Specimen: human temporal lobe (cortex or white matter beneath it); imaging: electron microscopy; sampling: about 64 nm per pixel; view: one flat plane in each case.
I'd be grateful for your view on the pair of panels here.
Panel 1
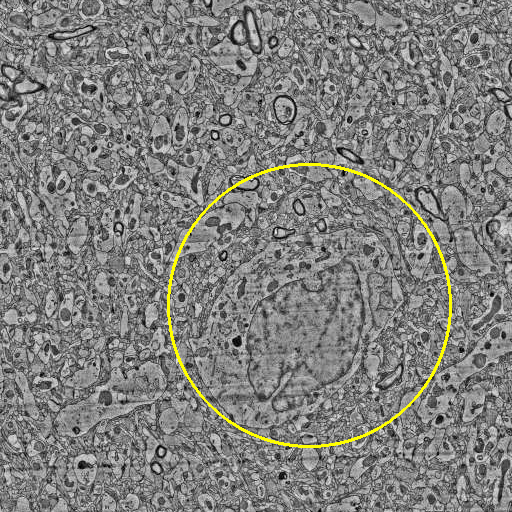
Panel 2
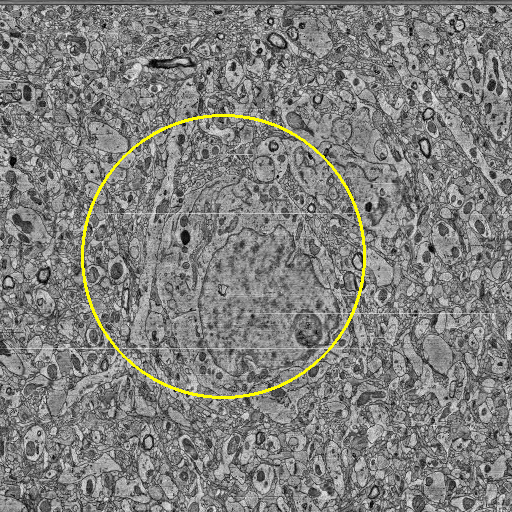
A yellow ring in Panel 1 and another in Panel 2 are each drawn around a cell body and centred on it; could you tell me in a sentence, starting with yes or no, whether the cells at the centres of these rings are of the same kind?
Yes, they are the same kind of cell.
